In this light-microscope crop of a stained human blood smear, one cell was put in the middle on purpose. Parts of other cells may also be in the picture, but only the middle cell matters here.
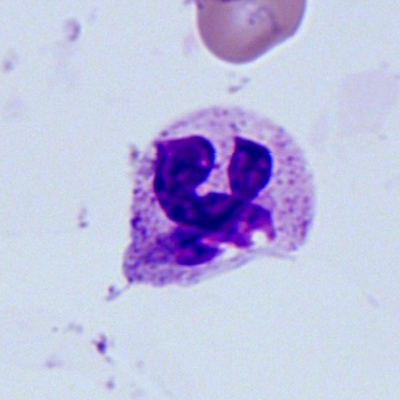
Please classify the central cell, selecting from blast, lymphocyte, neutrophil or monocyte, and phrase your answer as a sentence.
The centrally positioned cell in the crop represents a neutrophil.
